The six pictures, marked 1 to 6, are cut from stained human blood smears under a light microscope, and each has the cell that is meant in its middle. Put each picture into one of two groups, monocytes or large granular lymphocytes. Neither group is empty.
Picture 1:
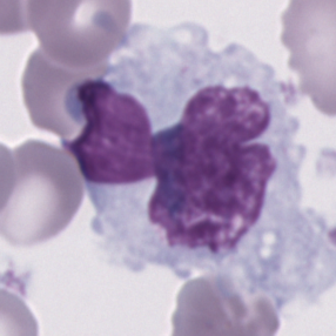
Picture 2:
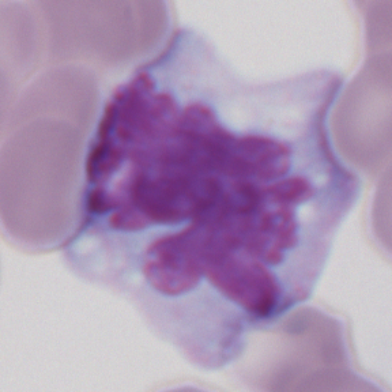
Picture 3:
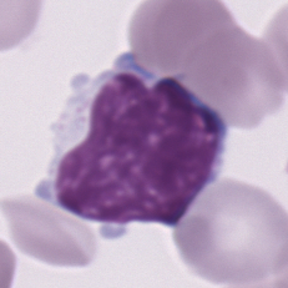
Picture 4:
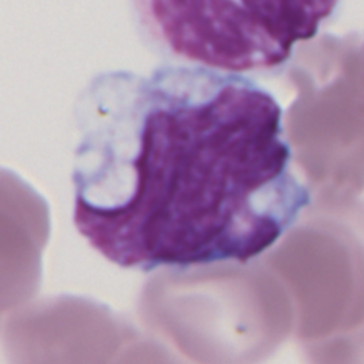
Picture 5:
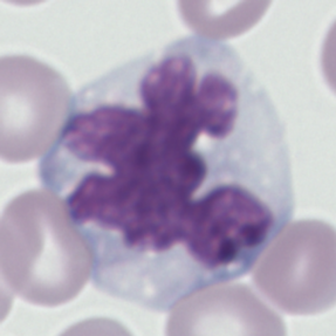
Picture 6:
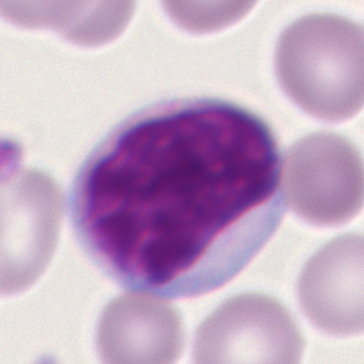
1: monocyte
2: monocyte
3: large granular lymphocyte
4: monocyte
5: monocyte
6: large granular lymphocyte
